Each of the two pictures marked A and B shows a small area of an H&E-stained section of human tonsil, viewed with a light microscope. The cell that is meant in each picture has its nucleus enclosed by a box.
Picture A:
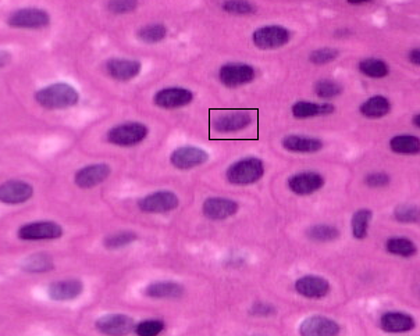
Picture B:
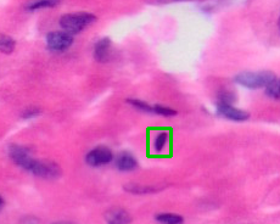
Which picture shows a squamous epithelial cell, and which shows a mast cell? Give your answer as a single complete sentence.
Picture B shows a mast cell, while picture A shows a squamous epithelial cell.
